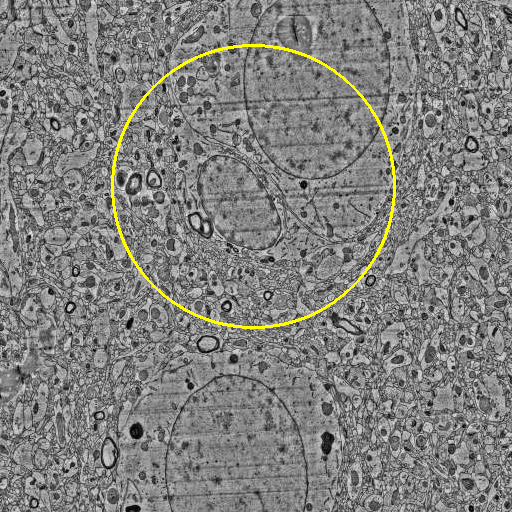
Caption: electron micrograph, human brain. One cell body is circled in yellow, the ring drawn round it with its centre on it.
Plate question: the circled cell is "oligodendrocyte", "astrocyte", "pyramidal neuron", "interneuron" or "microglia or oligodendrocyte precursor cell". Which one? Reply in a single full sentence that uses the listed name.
The yellow ring on the plate is centred on a microglial cell or oligodendrocyte precursor cell, going by the listed names.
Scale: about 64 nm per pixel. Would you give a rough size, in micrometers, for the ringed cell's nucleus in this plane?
The nucleus measures about 7 by 4 micrometres in this plane.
